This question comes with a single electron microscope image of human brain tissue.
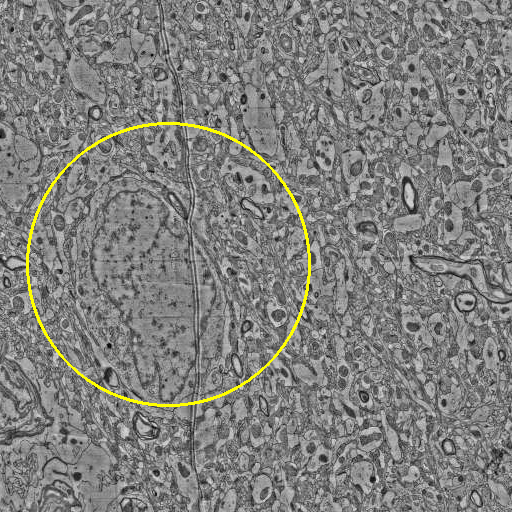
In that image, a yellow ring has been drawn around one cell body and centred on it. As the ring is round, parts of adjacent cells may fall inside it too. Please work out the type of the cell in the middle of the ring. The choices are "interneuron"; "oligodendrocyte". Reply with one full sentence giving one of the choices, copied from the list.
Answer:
Of the choices, an interneuron is the cell sitting in the middle of the ring.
